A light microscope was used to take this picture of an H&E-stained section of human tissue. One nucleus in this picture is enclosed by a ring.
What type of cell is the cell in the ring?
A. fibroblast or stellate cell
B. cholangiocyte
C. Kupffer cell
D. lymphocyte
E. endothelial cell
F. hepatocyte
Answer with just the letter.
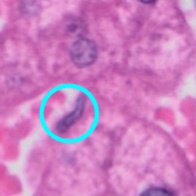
C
